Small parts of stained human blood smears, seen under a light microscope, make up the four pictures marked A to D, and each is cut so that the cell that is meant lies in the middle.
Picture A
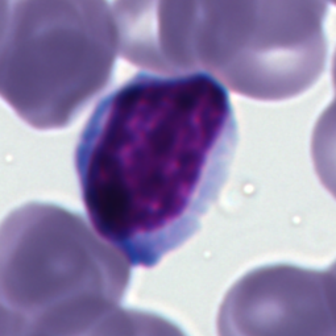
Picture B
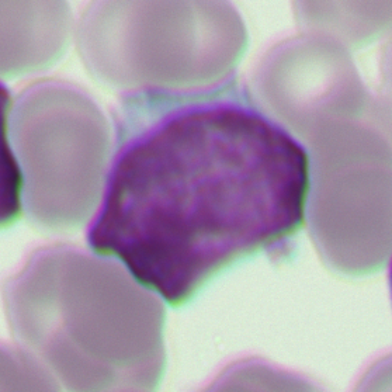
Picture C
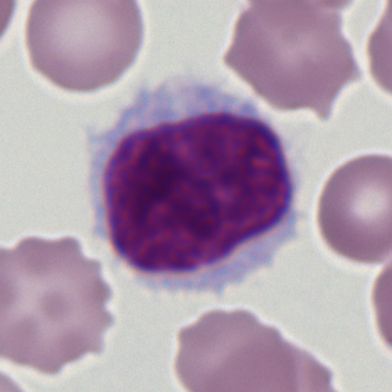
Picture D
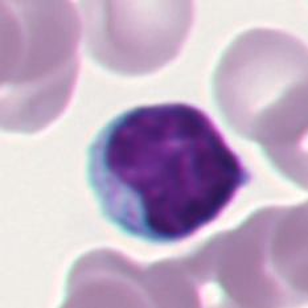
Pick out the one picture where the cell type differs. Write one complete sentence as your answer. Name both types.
Picture C differs, because its cell is a hairy cell and the rest are typical lymphocytes.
